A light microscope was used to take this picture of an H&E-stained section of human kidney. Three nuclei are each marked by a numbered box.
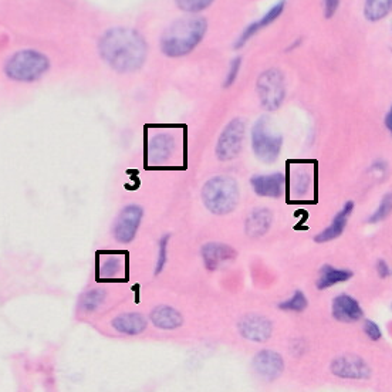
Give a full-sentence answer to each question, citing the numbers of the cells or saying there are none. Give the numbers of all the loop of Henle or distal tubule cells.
In this section, the cells labelled 1 and 3 are loop of Henle or distal tubule cells.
